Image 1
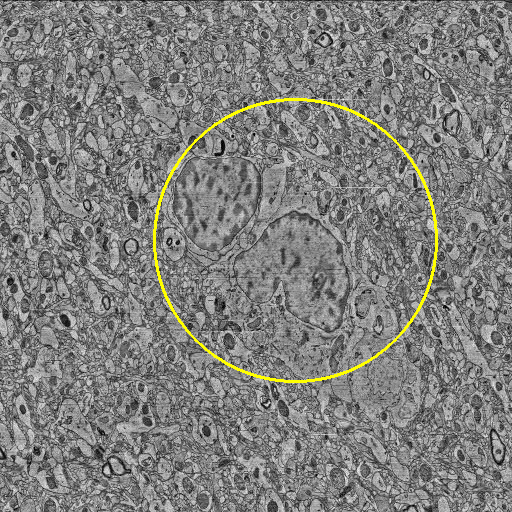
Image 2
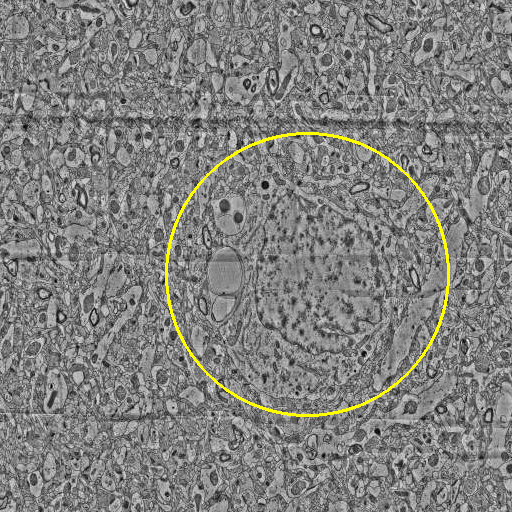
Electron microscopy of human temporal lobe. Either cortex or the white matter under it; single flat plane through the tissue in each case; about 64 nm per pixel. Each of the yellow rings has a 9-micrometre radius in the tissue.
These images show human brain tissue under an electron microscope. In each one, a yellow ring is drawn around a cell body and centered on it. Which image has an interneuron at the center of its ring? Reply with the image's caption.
Image 2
